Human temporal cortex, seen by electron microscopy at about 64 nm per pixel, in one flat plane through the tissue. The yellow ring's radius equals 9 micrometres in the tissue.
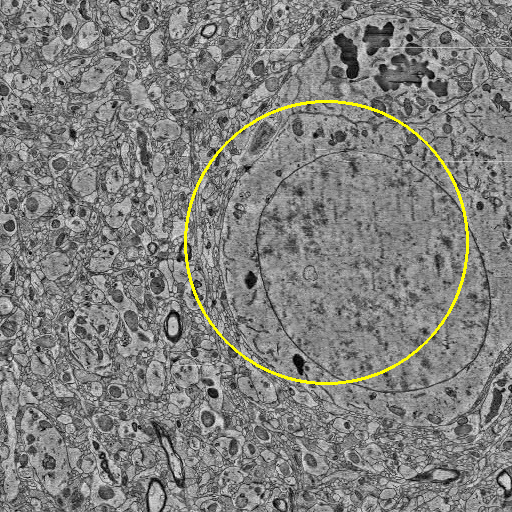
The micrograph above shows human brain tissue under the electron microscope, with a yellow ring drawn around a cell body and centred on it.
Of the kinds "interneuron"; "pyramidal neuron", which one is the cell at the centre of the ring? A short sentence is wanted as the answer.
The one at the centre of the ring is a pyramidal neuron.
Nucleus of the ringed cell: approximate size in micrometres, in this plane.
In this plane the nucleus measures roughly 17 by 14 micrometres.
